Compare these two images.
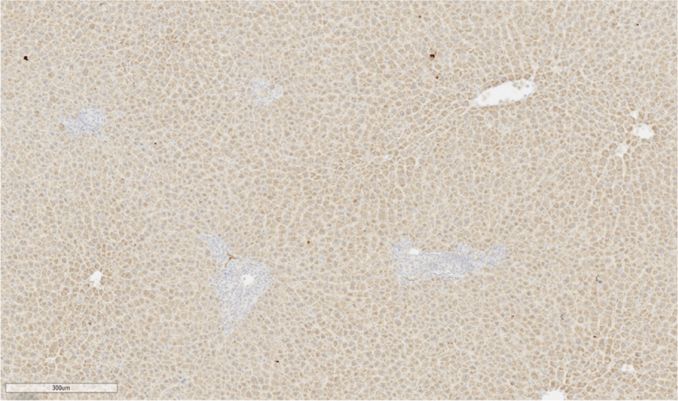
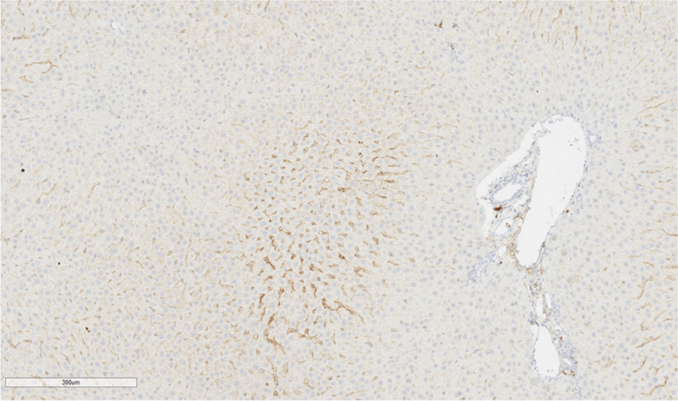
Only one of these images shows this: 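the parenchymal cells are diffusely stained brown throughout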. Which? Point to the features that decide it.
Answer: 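The first image. Second image: the parenchymal cells are pale, with only thin brown lines between them. First image: the cytoplasm of the parenchymal cells is light brown across the whole field.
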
